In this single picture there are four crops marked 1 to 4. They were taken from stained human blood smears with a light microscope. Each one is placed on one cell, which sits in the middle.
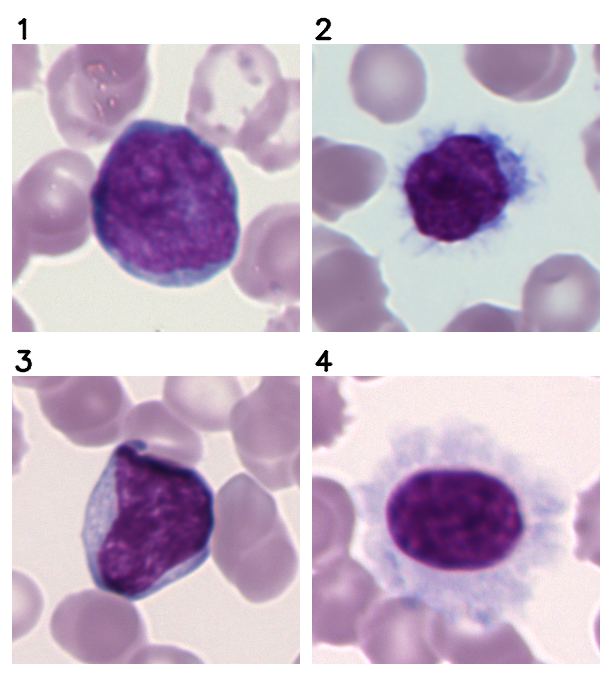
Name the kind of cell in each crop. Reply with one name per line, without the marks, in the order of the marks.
myeloblast
hairy cell
large granular lymphocyte
hairy cell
